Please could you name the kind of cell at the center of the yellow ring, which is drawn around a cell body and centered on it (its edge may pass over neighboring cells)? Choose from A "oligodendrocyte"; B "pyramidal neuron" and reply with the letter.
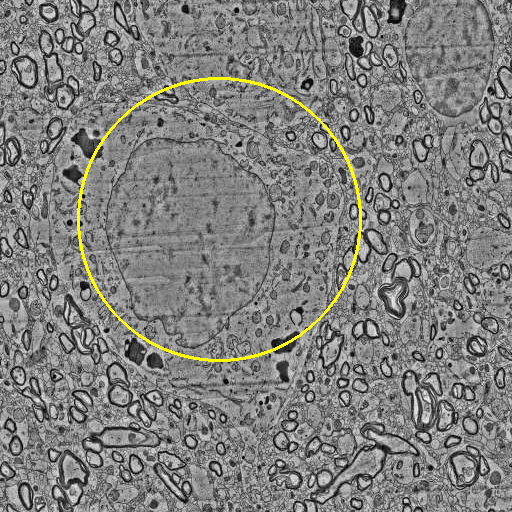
B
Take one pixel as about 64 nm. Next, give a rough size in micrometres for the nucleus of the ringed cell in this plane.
In this plane, the nucleus is roughly 14 by 11 micrometres.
